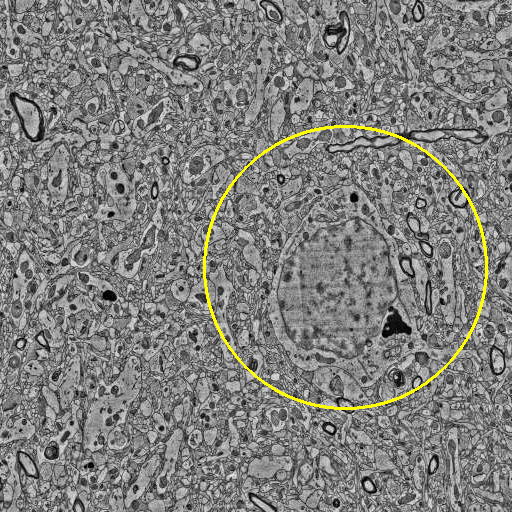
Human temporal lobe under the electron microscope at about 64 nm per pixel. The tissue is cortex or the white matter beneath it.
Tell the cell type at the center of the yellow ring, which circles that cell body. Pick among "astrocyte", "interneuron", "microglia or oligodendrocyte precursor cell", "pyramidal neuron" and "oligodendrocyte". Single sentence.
The ring is centered on the body of an interneuron.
